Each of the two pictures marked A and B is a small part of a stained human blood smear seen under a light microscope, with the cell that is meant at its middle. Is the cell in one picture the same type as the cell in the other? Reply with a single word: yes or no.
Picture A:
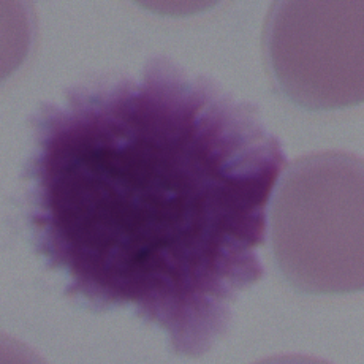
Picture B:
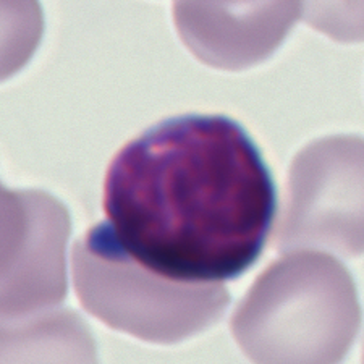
no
